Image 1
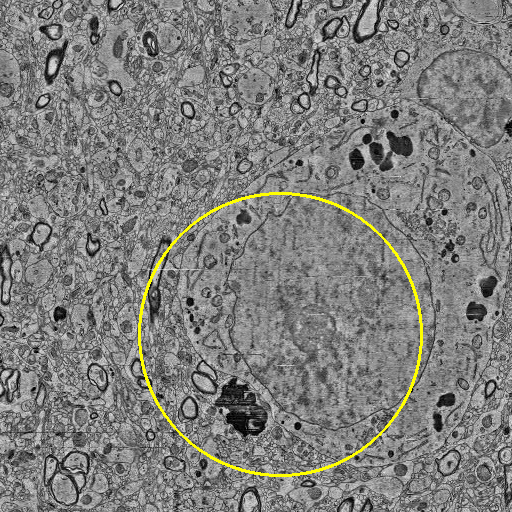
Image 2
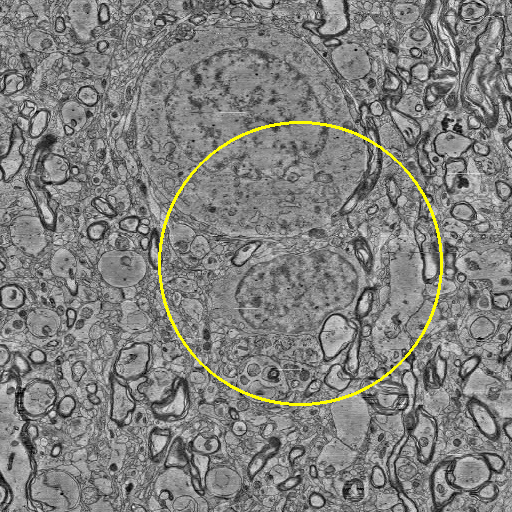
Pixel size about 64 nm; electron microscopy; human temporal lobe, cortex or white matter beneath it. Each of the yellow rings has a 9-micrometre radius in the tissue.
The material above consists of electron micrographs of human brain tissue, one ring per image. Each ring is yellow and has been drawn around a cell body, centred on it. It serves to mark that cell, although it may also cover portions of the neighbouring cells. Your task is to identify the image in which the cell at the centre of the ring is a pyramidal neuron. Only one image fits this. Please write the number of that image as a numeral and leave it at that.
1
